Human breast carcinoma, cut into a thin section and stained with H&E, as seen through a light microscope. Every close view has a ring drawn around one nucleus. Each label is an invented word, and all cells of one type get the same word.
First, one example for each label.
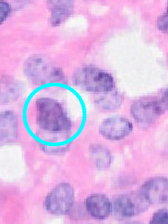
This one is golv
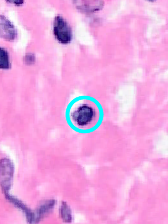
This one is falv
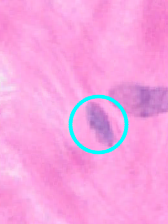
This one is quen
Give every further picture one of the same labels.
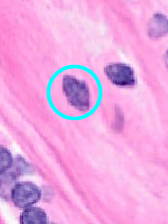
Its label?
falv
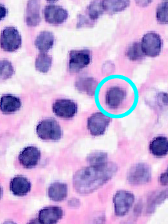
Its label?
falv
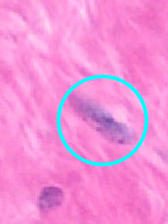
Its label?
quen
